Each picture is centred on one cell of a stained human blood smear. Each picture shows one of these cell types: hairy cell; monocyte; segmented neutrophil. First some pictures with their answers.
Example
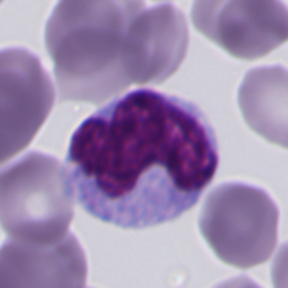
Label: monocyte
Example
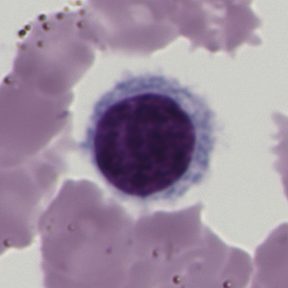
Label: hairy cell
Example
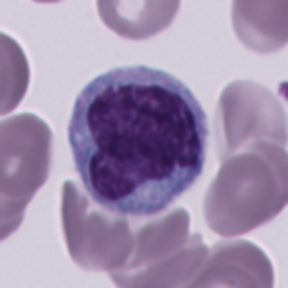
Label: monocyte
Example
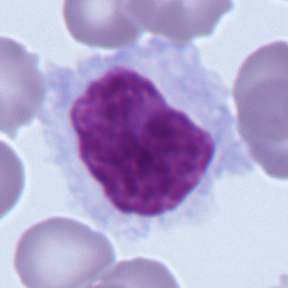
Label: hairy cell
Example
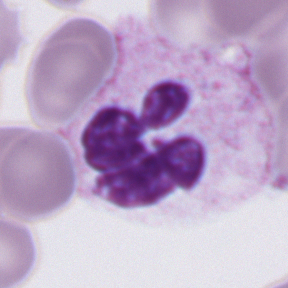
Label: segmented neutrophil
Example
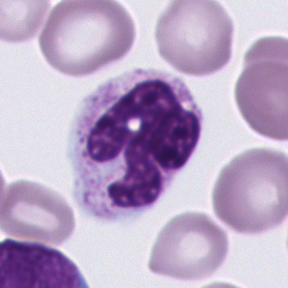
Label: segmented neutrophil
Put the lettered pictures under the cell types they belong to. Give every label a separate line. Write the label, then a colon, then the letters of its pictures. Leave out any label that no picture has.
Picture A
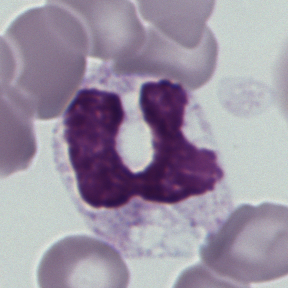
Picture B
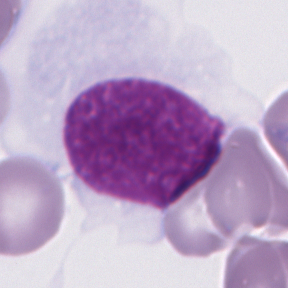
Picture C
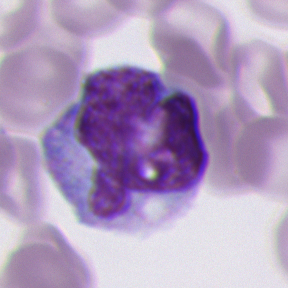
hairy cell: B
monocyte: C
segmented neutrophil: A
